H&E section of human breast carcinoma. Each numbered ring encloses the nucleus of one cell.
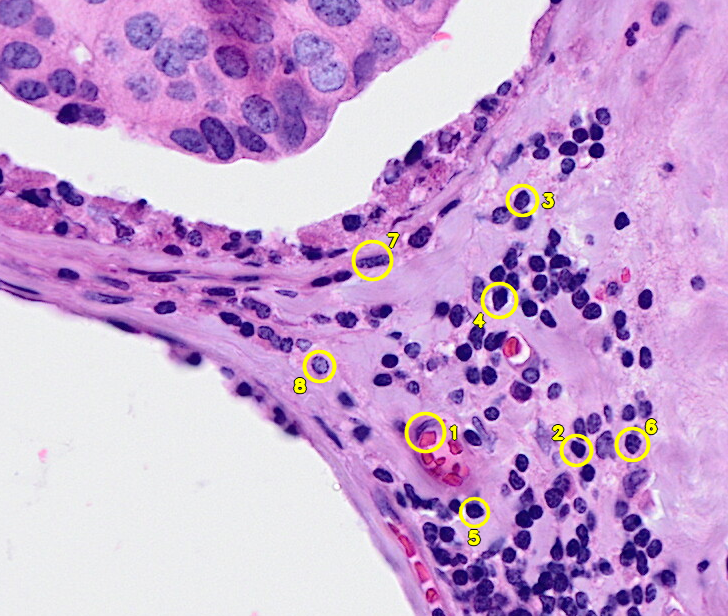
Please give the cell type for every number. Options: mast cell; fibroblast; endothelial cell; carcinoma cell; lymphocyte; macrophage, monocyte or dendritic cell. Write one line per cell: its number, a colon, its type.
1: endothelial cell
2: lymphocyte
3: lymphocyte
4: lymphocyte
5: lymphocyte
6: lymphocyte
7: mast cell
8: mast cell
